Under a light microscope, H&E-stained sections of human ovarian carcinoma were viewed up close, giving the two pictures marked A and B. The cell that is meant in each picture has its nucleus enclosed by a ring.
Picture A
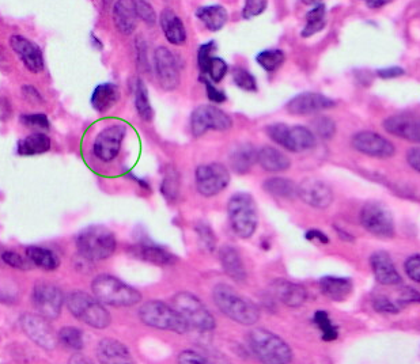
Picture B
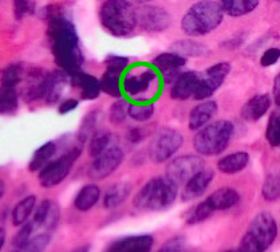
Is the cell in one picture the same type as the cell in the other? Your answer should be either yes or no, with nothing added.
no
